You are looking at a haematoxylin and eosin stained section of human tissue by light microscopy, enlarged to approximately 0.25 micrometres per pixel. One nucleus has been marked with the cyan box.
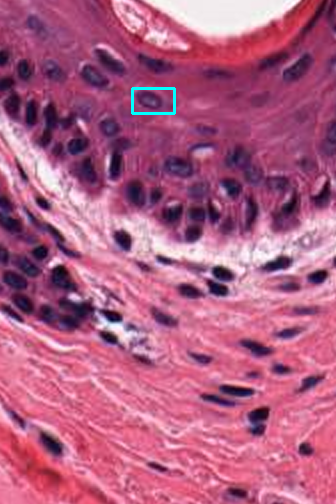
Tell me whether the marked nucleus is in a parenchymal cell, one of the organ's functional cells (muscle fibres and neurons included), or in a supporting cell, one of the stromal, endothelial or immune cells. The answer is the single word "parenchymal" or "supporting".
parenchymal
